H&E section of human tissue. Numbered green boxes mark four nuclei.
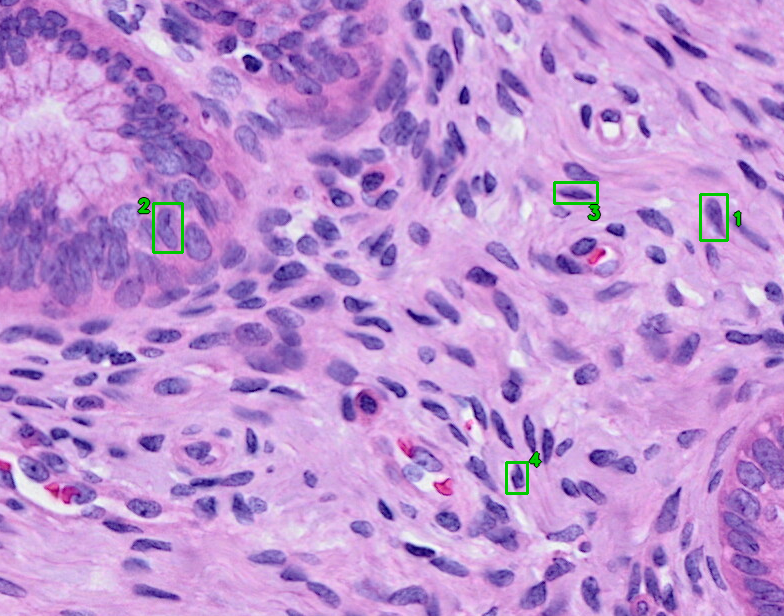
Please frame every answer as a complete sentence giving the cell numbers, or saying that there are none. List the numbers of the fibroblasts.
By cell type, the cells numbered 1, 3 and 4 are fibroblasts.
